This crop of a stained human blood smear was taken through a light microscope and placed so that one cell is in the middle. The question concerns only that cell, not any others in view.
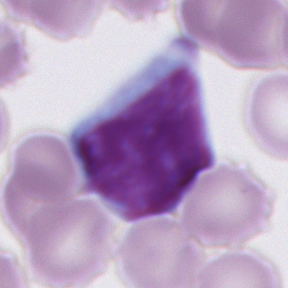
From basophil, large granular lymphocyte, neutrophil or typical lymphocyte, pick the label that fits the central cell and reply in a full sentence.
Here the cell in the middle is a typical lymphocyte.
